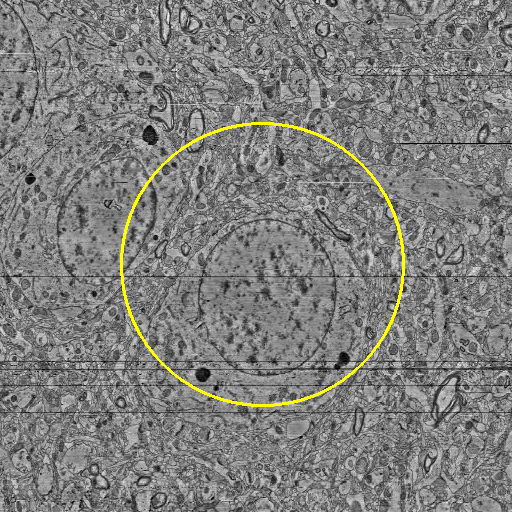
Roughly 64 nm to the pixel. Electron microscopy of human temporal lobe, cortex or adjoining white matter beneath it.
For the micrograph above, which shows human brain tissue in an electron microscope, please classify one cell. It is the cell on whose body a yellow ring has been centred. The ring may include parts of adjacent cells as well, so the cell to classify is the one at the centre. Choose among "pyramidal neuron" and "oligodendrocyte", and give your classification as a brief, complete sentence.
I classify this cell as a pyramidal neuron.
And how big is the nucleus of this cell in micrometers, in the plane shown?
Approximately 10 micrometres long and 9 micrometres wide, in this plane.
